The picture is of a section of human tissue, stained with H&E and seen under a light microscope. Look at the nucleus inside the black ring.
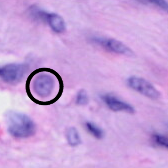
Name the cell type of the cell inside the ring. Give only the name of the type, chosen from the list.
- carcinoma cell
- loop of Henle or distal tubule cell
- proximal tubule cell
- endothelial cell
endothelial cell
